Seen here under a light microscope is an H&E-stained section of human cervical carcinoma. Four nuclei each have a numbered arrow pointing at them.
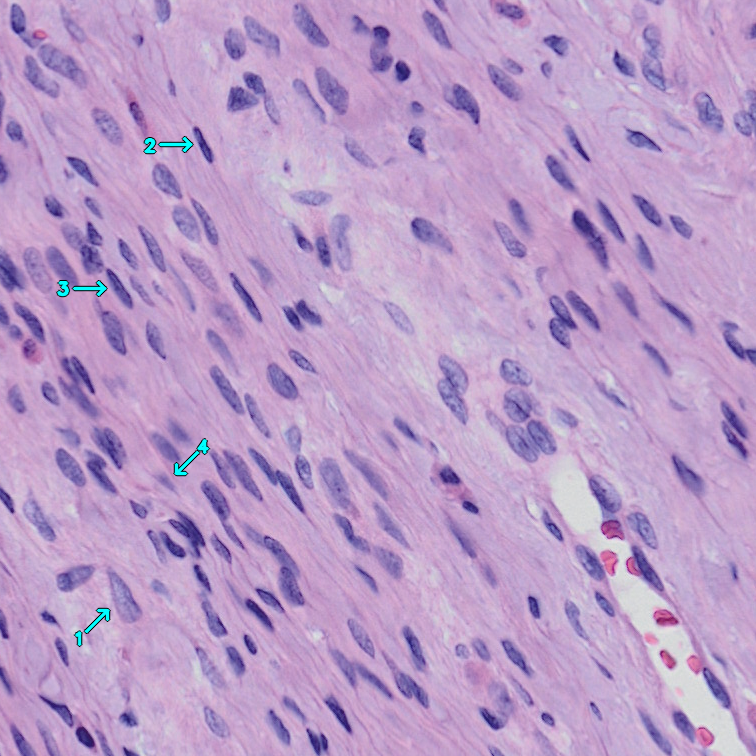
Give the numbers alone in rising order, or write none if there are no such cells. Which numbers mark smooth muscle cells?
1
